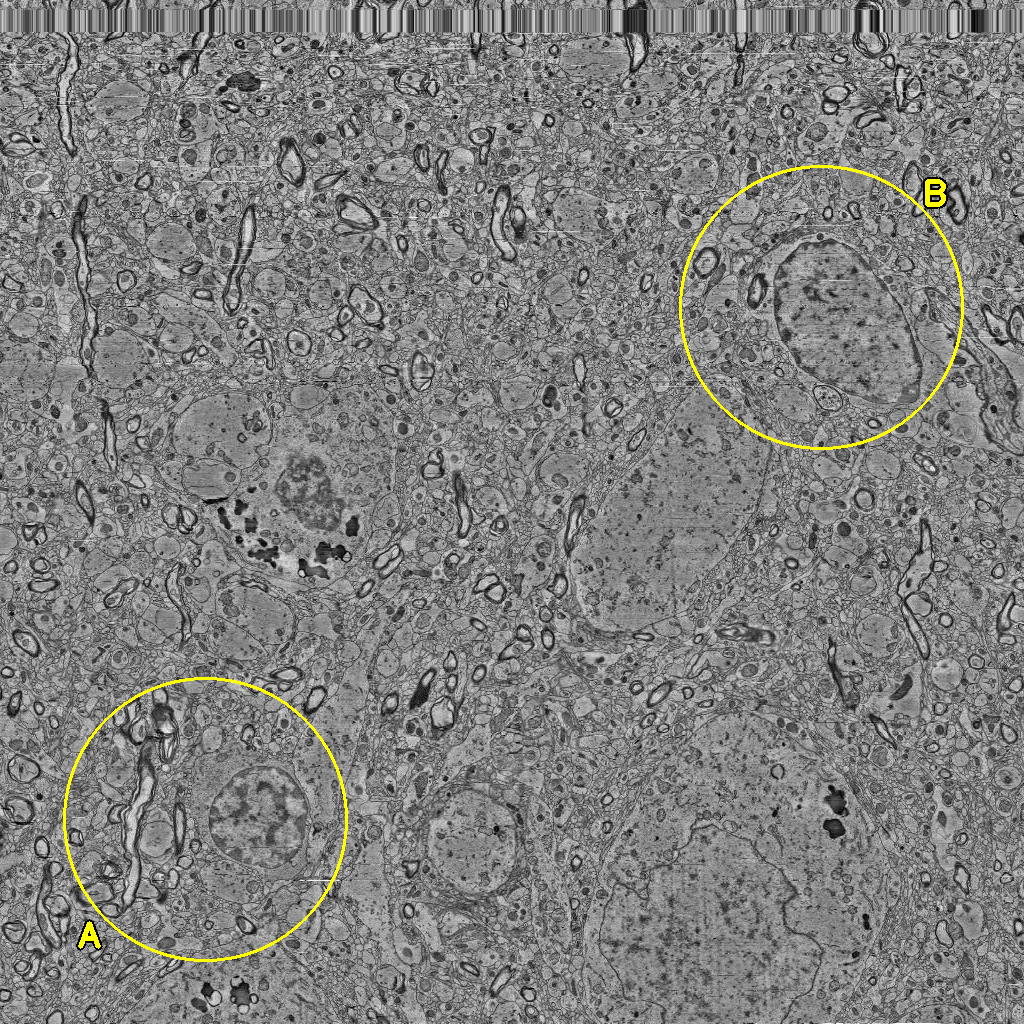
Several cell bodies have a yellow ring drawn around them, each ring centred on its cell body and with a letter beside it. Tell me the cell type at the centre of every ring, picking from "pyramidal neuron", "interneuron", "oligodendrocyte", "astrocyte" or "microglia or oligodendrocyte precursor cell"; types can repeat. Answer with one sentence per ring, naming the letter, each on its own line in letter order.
In ring A, the central cell is an oligodendrocyte.
In ring B, the central cell is a microglial cell or oligodendrocyte precursor cell.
